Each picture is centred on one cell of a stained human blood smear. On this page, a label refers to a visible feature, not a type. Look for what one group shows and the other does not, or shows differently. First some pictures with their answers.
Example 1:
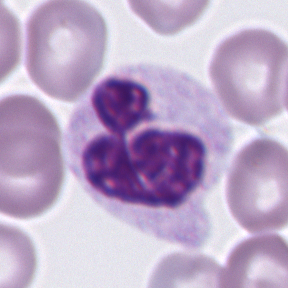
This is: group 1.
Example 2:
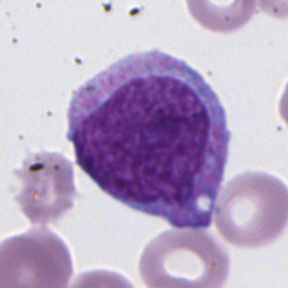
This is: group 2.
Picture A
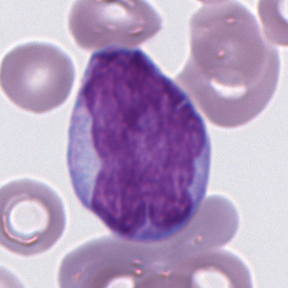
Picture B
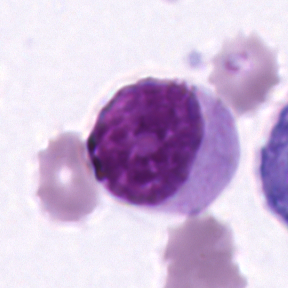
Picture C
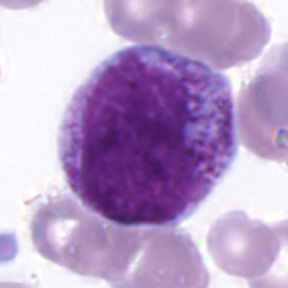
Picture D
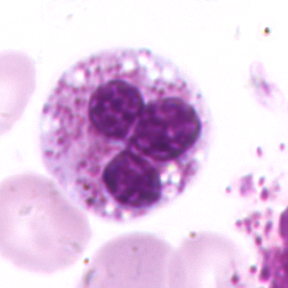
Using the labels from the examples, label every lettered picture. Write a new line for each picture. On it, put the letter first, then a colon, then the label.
A: group 1.
B: group 1.
C: group 1.
D: group 2.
